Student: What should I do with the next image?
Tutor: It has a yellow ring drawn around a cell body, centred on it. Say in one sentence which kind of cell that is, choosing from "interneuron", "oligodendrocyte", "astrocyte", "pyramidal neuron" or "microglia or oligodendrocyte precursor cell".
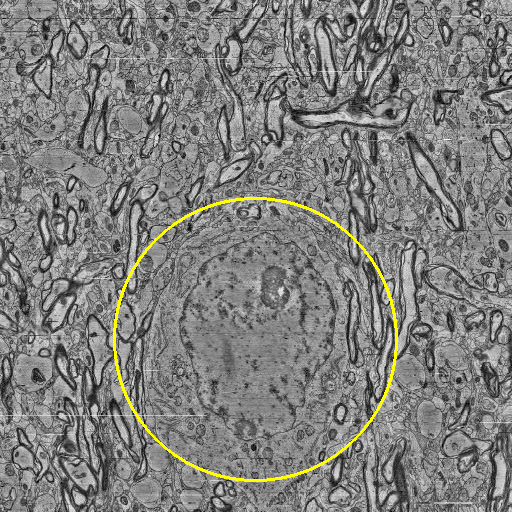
The ring's centre is occupied by an interneuron.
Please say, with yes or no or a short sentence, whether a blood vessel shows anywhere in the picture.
No, there is no blood vessel.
